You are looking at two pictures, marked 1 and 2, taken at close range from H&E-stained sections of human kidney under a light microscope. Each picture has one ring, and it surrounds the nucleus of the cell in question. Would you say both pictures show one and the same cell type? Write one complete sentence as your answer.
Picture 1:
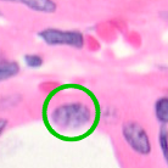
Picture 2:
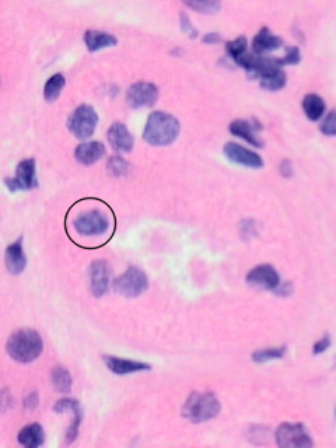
No; the cell in picture 1 is a collecting duct cell, while the one in picture 2 is a “loop of Henle or distal tubule cell”.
